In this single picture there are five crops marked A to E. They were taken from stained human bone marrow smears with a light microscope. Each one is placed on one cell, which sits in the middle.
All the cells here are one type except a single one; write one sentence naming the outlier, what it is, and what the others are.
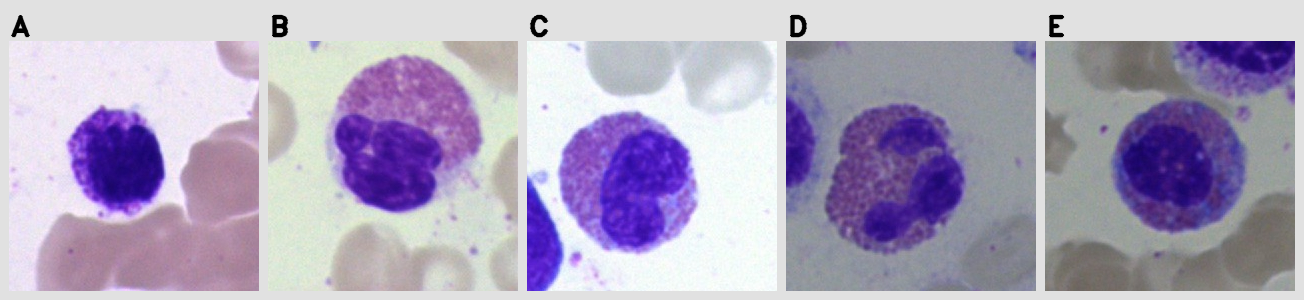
Of the crops, all show eosinophils save crop A, which shows a basophil.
